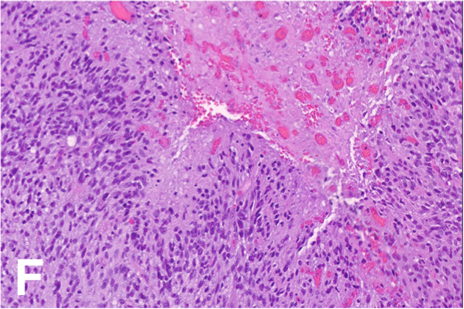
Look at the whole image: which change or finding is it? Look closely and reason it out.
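Necrosis with pseudopalisading. A pale pink, nucleus-poor zone with red blood cells runs through the field. Dense tumor nuclei crowd along the margins of the pale zone.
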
